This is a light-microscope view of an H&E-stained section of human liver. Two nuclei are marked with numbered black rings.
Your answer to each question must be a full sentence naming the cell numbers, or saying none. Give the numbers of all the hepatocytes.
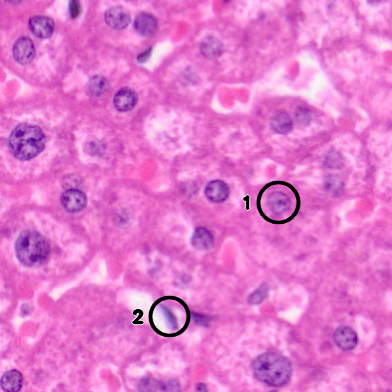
The cell marked by number 1 is a hepatocyte; the other marked cells are not.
